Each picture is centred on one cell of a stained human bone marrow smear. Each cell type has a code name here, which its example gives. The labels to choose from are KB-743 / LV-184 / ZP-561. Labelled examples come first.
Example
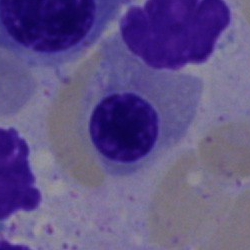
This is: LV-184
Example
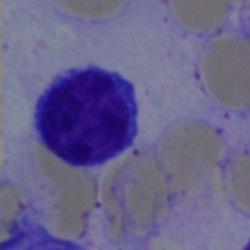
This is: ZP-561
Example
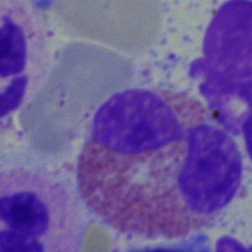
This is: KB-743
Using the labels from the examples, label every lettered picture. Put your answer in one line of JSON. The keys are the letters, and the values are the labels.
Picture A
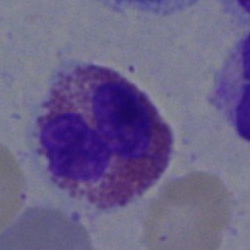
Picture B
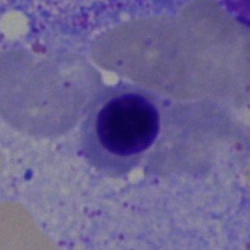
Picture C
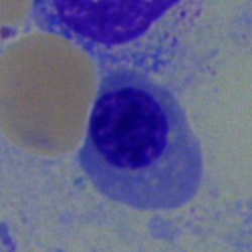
{"A": "KB-743", "B": "LV-184", "C": "LV-184"}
